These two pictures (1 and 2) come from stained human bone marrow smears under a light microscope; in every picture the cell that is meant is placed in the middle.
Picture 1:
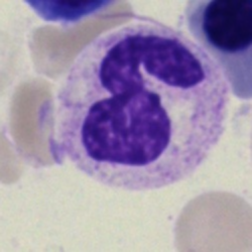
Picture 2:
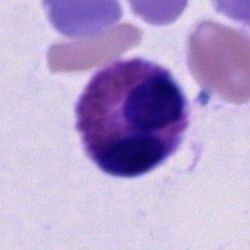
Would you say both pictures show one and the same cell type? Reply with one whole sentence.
No, they differ: the cell is a segmented neutrophil in picture 1 and an eosinophil in picture 2.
